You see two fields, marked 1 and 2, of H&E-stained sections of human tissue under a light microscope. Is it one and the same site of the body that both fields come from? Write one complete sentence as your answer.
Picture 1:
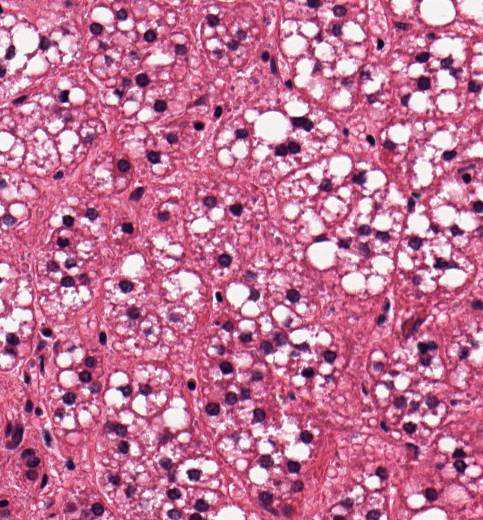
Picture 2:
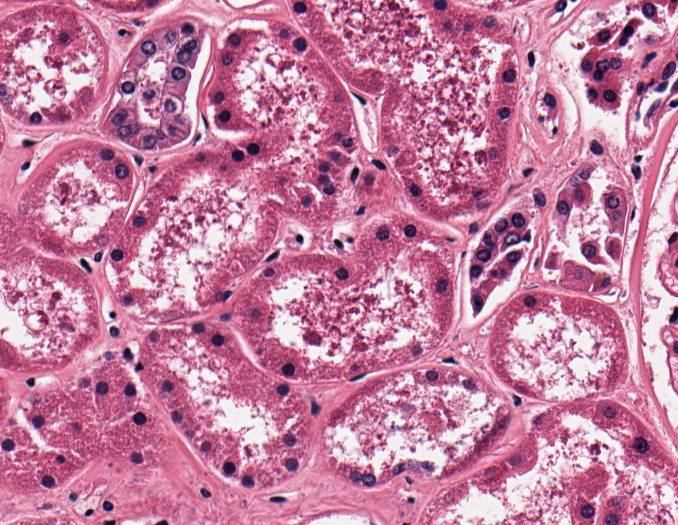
No. Picture 1 comes from the adrenal gland, whereas picture 2 comes from the renal cortex.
